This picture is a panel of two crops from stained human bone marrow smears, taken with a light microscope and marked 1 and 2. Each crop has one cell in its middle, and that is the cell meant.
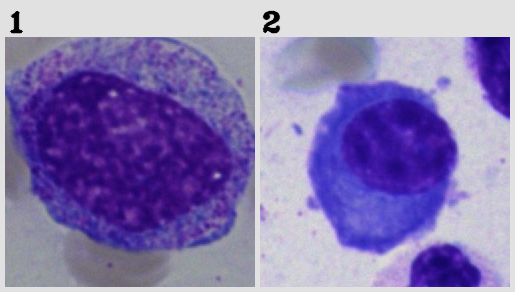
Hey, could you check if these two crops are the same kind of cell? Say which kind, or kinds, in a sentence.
No, the cell in crop 1 is a promyelocyte, and the cell in crop 2 is a plasma cell.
